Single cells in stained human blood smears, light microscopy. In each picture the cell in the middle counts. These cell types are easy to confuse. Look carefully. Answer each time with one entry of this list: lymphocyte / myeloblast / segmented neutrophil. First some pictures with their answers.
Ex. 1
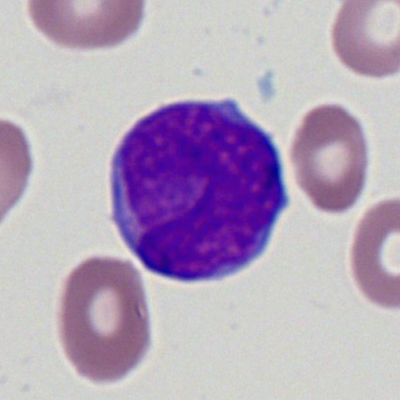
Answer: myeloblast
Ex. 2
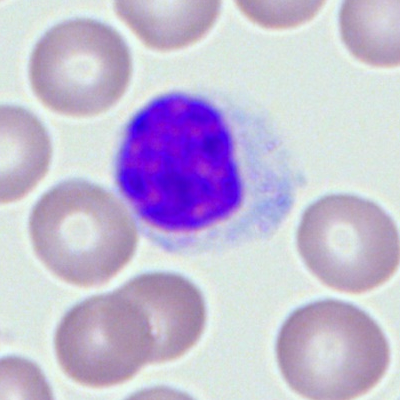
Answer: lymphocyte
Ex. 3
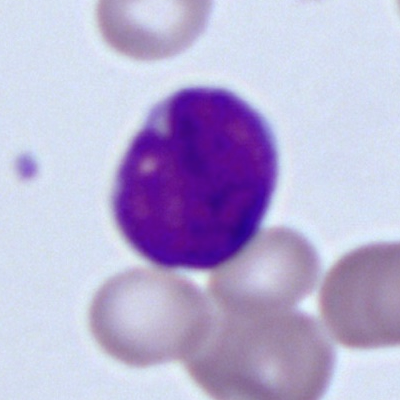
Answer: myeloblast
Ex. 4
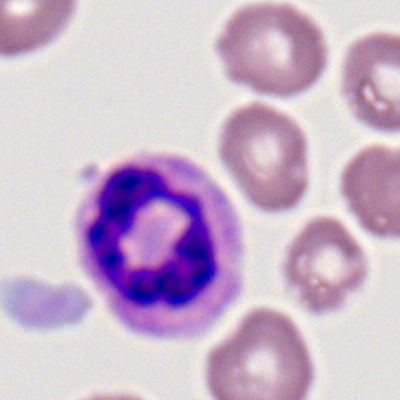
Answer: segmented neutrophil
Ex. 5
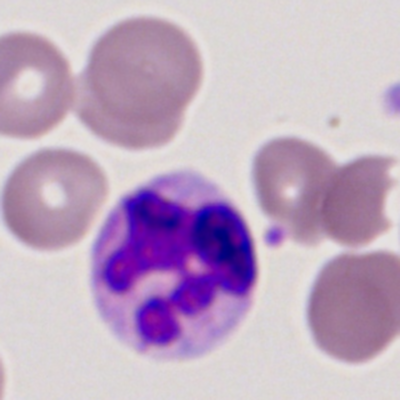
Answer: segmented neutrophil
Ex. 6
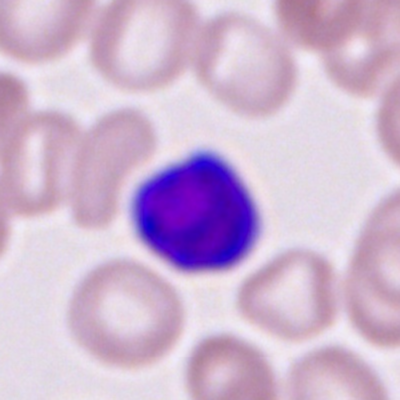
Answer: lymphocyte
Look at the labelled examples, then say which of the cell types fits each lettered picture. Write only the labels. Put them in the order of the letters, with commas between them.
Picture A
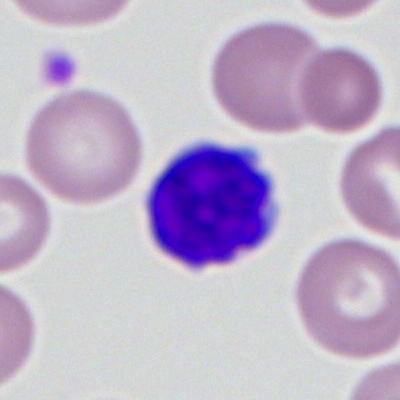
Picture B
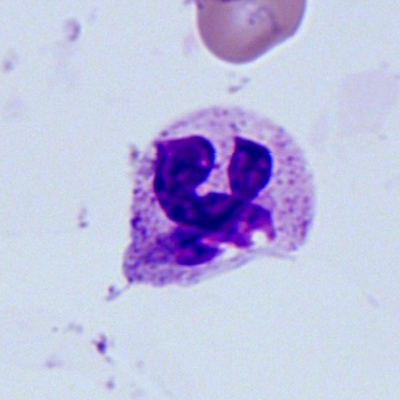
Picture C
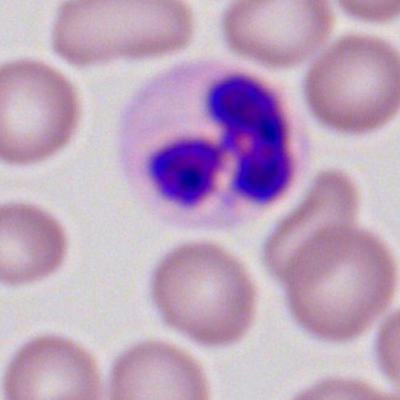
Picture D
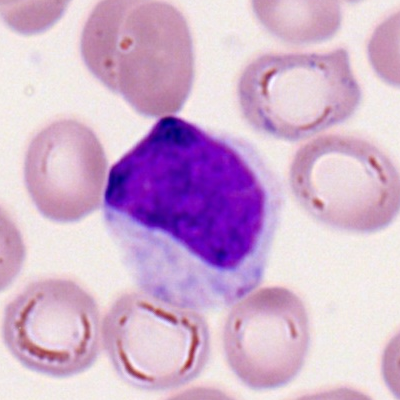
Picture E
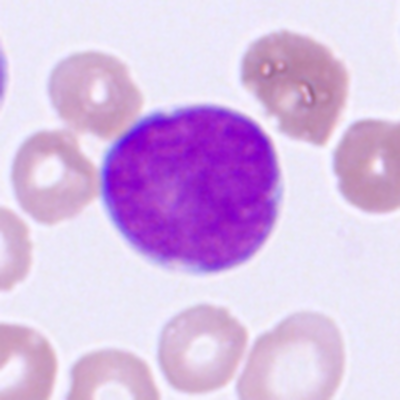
lymphocyte, segmented neutrophil, segmented neutrophil, lymphocyte, myeloblast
